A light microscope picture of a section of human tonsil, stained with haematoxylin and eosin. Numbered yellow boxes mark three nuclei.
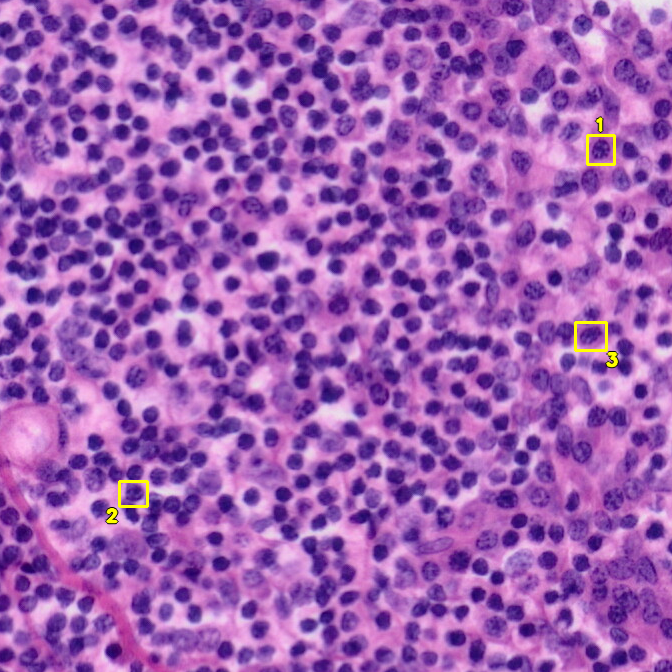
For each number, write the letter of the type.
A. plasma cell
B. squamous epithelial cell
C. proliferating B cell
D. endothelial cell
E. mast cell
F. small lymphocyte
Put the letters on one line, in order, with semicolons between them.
A; F; A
